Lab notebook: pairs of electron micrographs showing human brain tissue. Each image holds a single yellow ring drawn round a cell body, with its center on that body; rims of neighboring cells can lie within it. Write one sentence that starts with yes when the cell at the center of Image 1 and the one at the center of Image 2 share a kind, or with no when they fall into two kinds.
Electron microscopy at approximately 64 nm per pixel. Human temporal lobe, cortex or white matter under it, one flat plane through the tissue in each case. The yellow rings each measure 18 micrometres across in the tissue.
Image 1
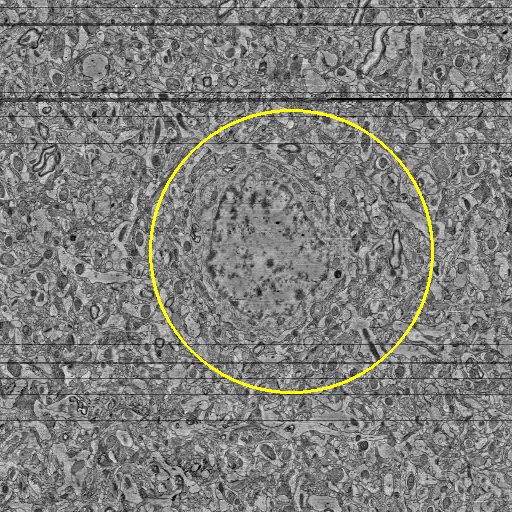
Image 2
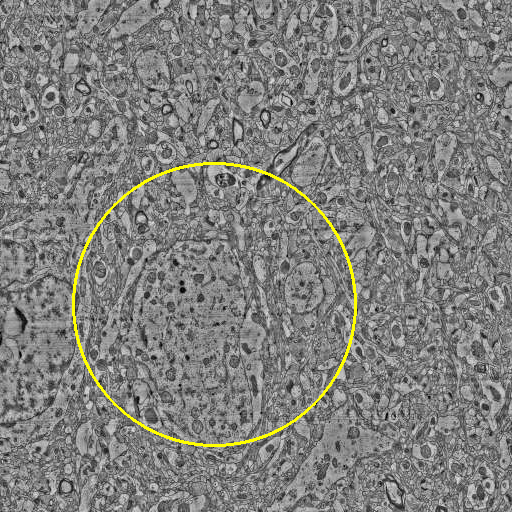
No, the centered cell in Image 1 and the centered cell in Image 2 are of two kinds.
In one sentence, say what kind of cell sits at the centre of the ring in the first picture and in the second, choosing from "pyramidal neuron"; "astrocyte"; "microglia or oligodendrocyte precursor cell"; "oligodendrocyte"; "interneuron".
The first picture's ringed cell is an interneuron, while the second picture's is a pyramidal neuron.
